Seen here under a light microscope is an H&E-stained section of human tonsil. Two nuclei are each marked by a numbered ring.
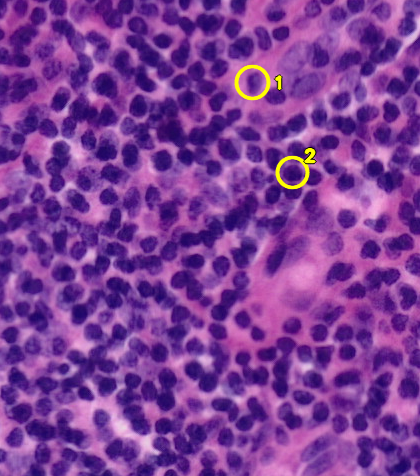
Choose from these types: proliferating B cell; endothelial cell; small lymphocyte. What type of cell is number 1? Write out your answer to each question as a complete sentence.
To an endothelial cell belongs the nucleus marked 1.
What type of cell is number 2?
Marked with the number 2, this cell is a small lymphocyte.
